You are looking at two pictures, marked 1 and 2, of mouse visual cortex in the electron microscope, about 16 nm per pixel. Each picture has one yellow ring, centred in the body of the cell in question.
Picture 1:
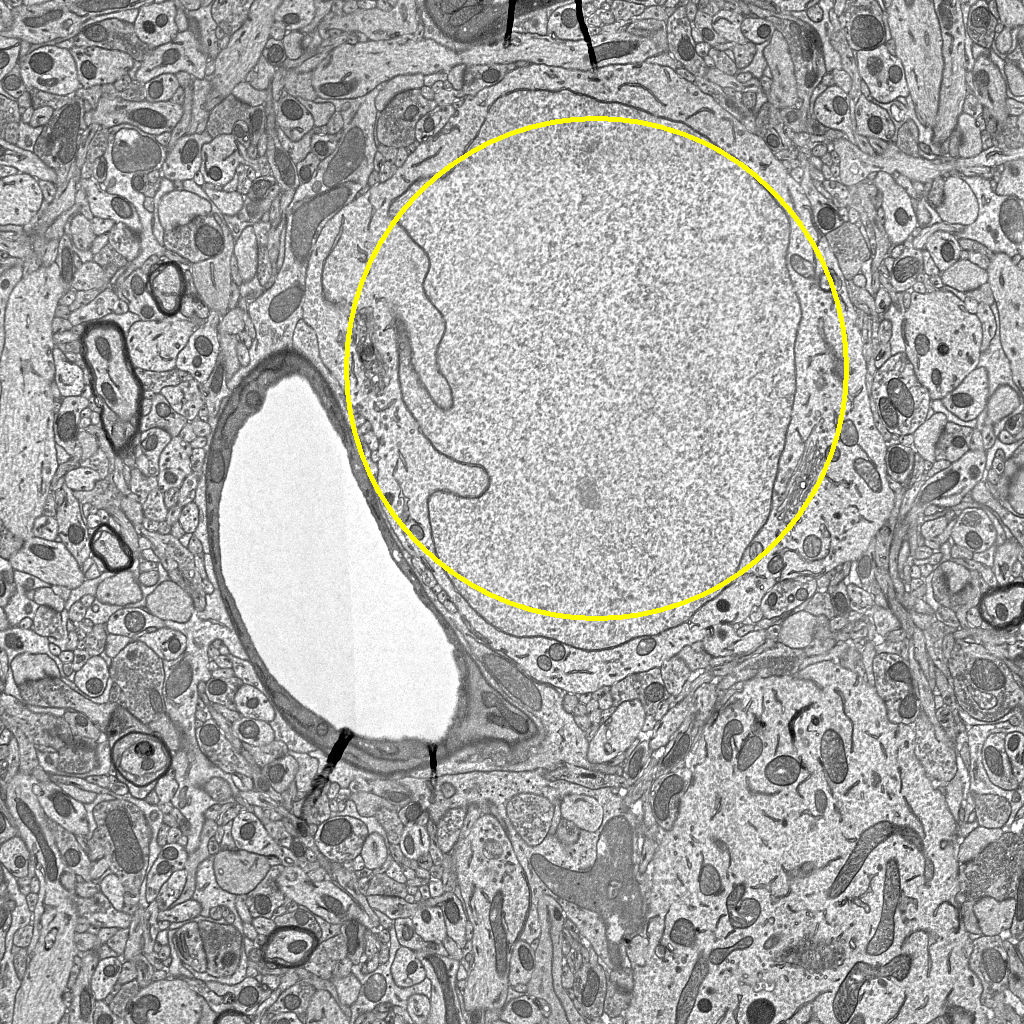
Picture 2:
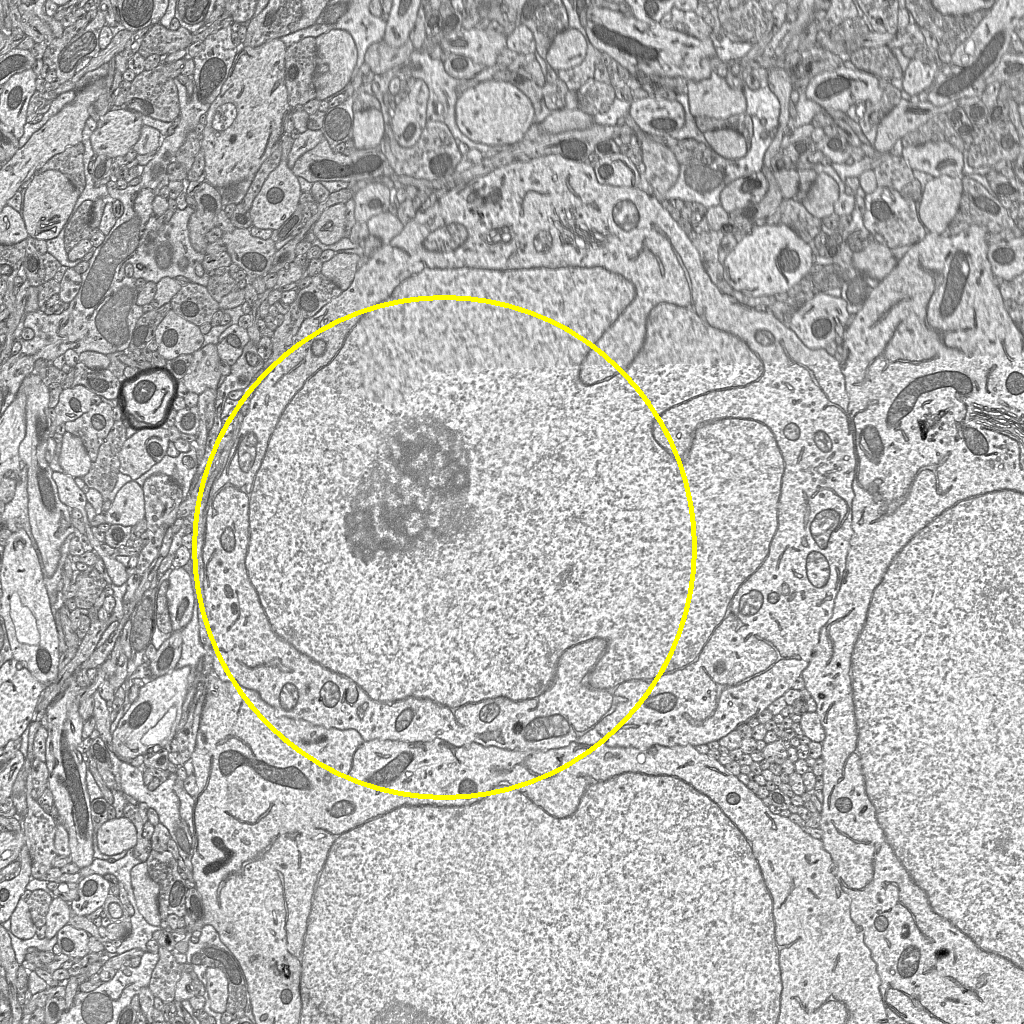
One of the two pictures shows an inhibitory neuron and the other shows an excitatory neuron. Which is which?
The cell in picture 1 is an excitatory neuron, and the one in picture 2 is an inhibitory neuron.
